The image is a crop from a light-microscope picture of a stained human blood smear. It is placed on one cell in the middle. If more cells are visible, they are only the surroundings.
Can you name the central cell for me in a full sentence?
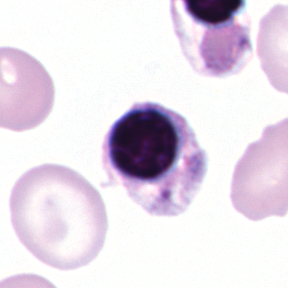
In short, the cell at the center is an erythroblast.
